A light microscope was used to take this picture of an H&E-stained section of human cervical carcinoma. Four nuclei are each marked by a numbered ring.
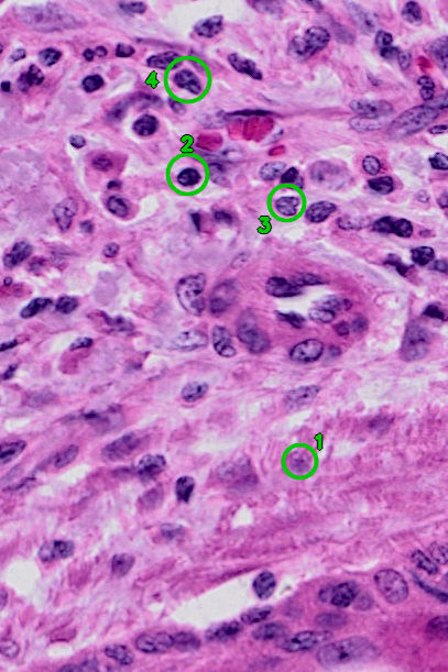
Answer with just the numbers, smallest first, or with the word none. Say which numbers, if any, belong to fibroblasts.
1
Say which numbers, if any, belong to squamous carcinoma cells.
none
